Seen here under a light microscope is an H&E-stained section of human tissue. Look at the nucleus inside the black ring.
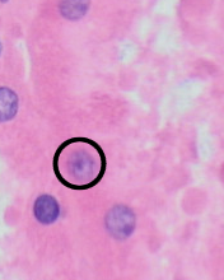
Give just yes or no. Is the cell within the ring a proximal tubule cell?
yes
